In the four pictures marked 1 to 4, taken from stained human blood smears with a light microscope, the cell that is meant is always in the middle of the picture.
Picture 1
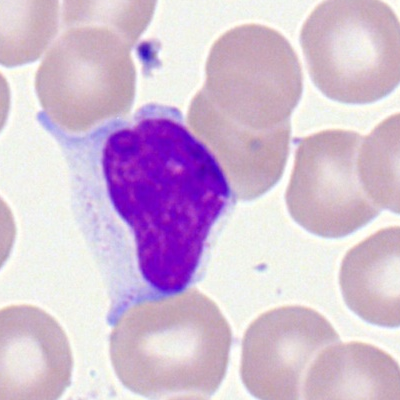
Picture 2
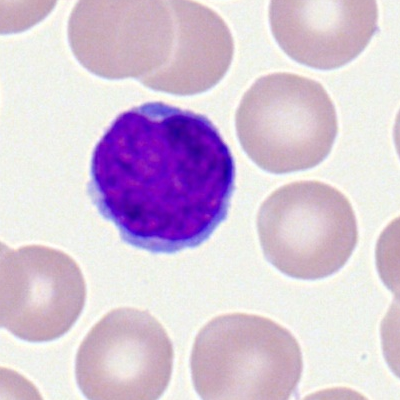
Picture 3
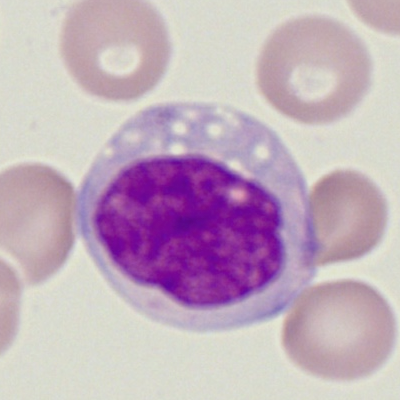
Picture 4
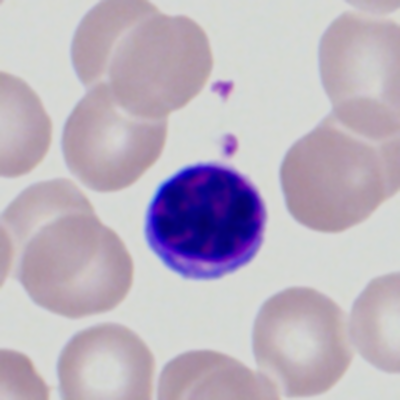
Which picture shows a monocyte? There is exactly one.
3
